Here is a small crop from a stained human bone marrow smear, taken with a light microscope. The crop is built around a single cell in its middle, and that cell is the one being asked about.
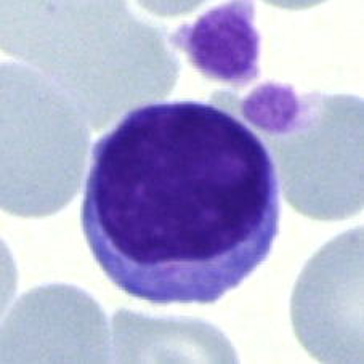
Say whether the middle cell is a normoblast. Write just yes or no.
no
